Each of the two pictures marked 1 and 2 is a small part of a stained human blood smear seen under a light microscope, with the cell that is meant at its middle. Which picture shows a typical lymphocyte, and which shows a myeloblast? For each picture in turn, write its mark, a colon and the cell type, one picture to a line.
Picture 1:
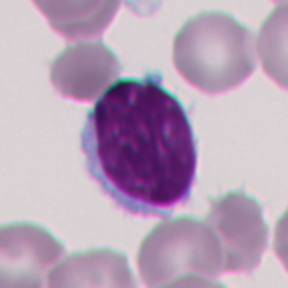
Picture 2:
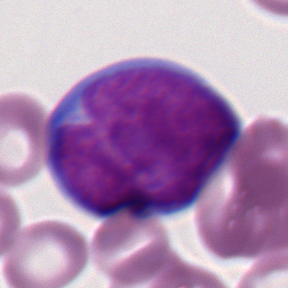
1: typical lymphocyte
2: myeloblast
